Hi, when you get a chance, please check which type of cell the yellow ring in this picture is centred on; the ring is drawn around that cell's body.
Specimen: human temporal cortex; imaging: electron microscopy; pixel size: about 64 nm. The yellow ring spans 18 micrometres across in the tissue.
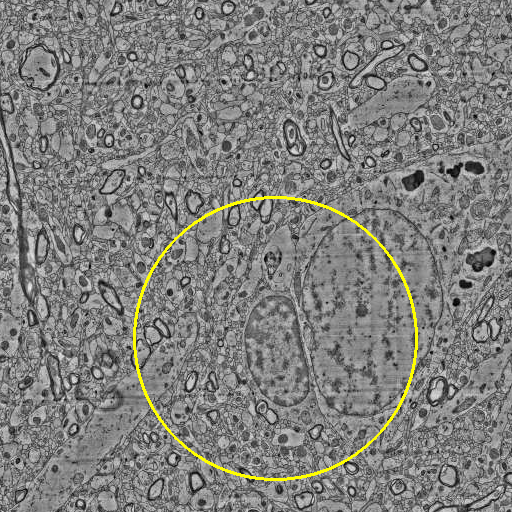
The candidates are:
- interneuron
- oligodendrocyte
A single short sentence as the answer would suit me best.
The ring is drawn around the body of an oligodendrocyte.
